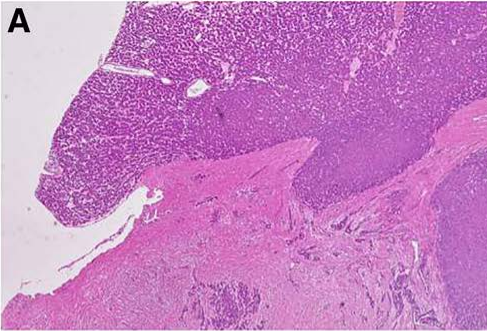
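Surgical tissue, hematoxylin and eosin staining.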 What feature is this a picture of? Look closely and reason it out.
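A rounded dense purple cellular nodule sits within pink fibrous tissue.
Isolated tumor nests.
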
